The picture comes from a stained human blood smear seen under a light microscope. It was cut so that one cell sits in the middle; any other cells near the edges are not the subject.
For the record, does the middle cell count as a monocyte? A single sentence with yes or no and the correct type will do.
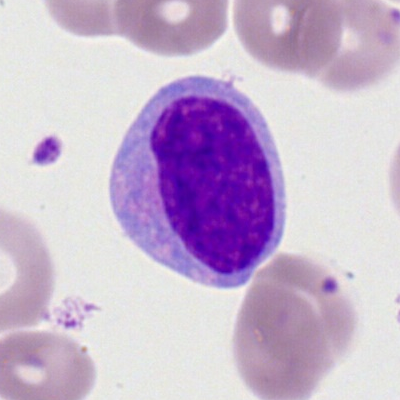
No, the cell of interest here is a blast and not a monocyte.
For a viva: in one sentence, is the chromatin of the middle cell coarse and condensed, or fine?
Chromatin in the nucleus here is coarsely clumped.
